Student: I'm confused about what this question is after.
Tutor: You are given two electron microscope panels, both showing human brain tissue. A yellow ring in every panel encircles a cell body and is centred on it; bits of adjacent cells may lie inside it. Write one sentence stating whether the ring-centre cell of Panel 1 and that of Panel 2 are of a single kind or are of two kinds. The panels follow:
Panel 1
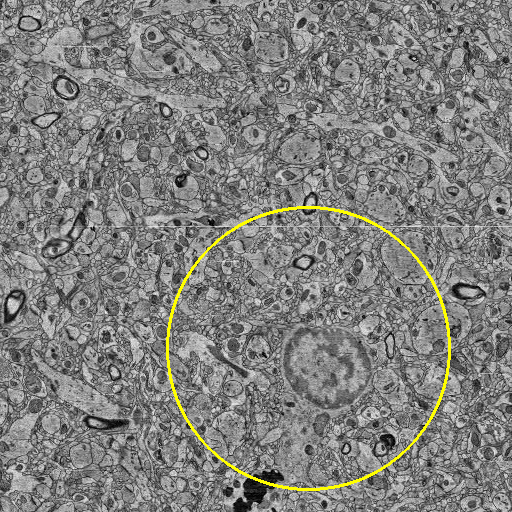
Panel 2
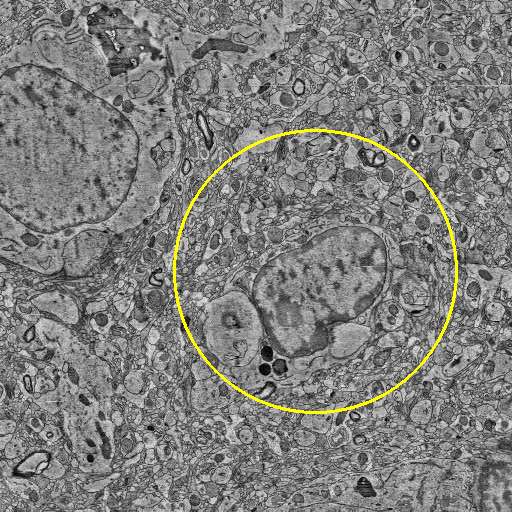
Here, the Panel 1 ring-centre cell and the Panel 2 ring-centre cell are of two kinds.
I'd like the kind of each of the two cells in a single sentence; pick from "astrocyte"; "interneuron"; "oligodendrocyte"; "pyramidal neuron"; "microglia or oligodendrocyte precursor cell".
The first ring marks an oligodendrocyte, and the second ring marks a microglial cell or oligodendrocyte precursor cell.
